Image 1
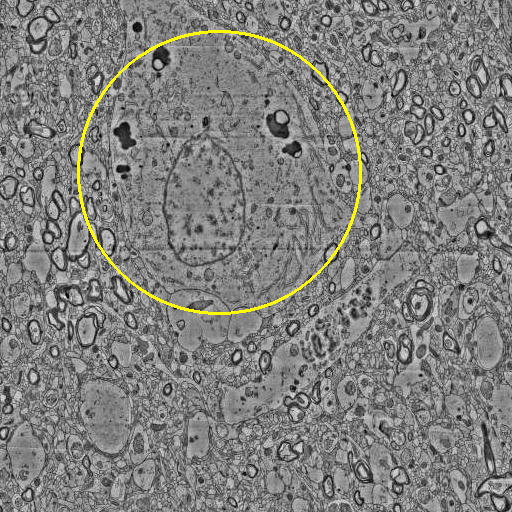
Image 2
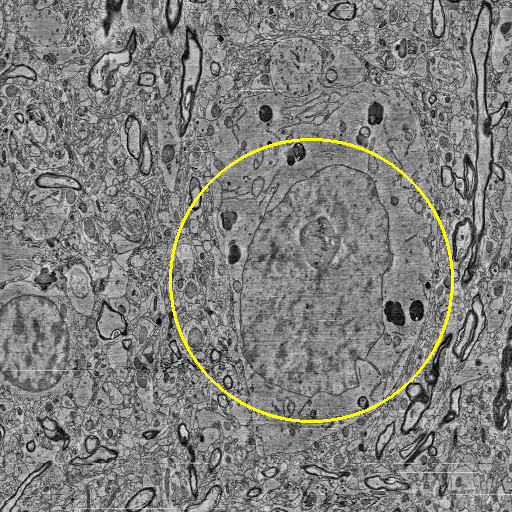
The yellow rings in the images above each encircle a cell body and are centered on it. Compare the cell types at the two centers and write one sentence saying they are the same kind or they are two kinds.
Taken together, the two cells at the ring centers are the same kind.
